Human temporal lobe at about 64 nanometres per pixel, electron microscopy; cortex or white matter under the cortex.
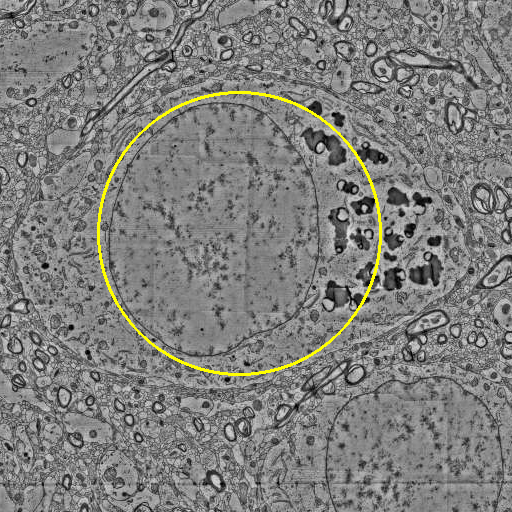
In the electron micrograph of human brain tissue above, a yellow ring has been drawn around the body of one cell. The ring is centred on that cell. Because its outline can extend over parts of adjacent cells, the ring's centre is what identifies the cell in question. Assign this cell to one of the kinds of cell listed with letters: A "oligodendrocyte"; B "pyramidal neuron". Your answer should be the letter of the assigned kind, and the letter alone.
B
